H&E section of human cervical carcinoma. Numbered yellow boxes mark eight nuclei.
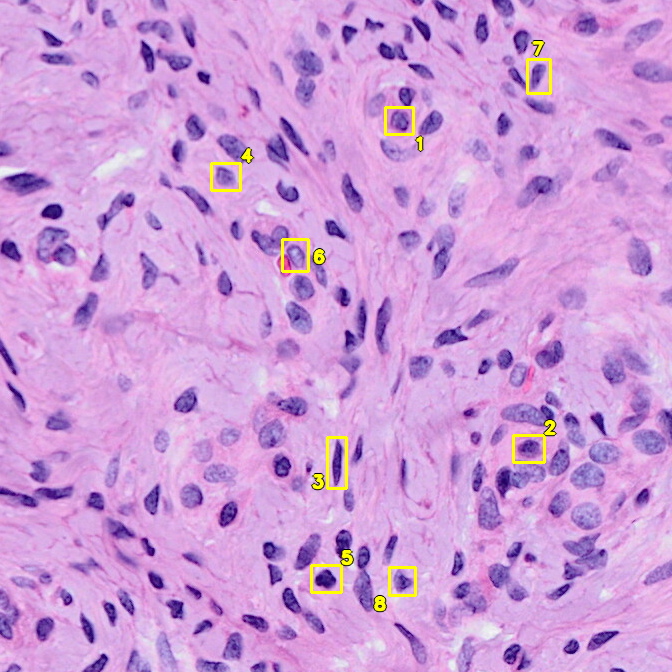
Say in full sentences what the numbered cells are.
Cells 1, 2 and 6 are endothelial cells. Cells 3, 4, 7 and 8 are fibroblasts. Cell 5 is a lymphocyte.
